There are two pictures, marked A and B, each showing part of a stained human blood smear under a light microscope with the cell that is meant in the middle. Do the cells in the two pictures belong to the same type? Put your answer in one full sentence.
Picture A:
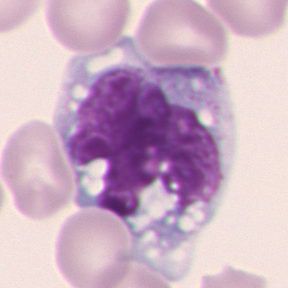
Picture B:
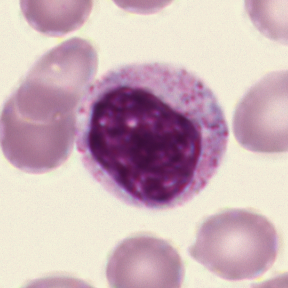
No, the types are not the same, since picture A shows a monocyte and picture B a metamyelocyte.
